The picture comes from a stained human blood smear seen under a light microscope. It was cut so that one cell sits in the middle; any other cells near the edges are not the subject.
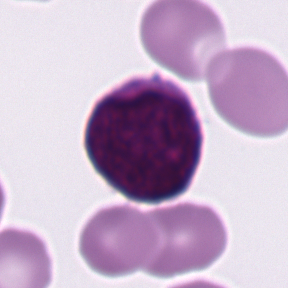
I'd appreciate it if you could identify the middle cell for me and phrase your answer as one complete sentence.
This crop has a blast at its centre.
